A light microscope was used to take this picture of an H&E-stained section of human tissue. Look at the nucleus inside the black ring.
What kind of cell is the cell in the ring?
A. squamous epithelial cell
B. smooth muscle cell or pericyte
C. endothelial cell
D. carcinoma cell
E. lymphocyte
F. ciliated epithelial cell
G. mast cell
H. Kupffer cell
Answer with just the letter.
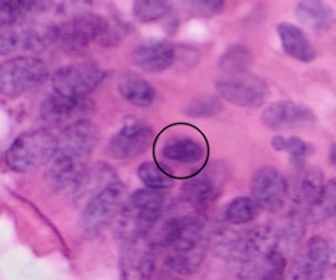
F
